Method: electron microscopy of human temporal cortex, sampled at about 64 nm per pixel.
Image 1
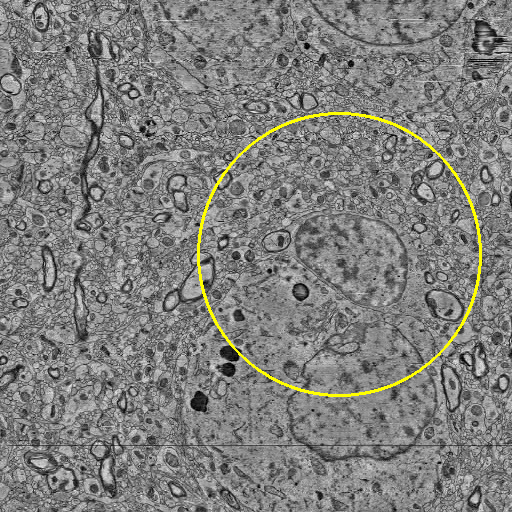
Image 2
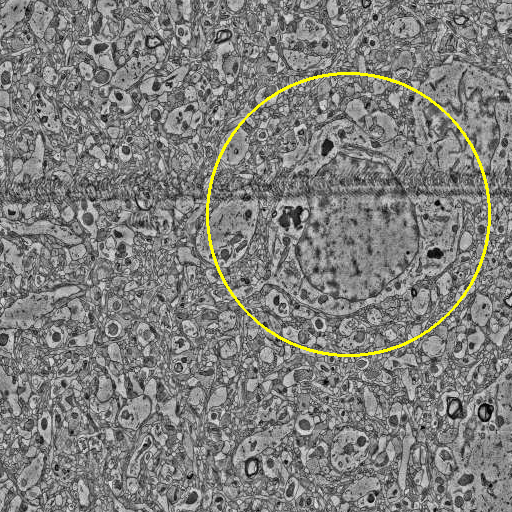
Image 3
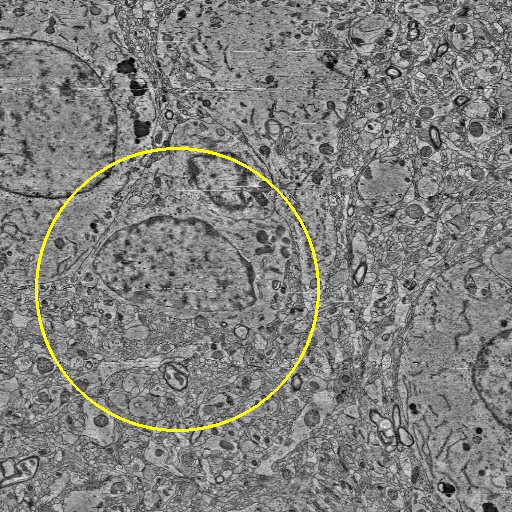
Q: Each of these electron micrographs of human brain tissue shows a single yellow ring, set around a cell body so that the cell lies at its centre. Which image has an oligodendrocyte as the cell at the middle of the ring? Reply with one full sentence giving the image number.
In image 1, the cell lying at the ring's centre is the requested one.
